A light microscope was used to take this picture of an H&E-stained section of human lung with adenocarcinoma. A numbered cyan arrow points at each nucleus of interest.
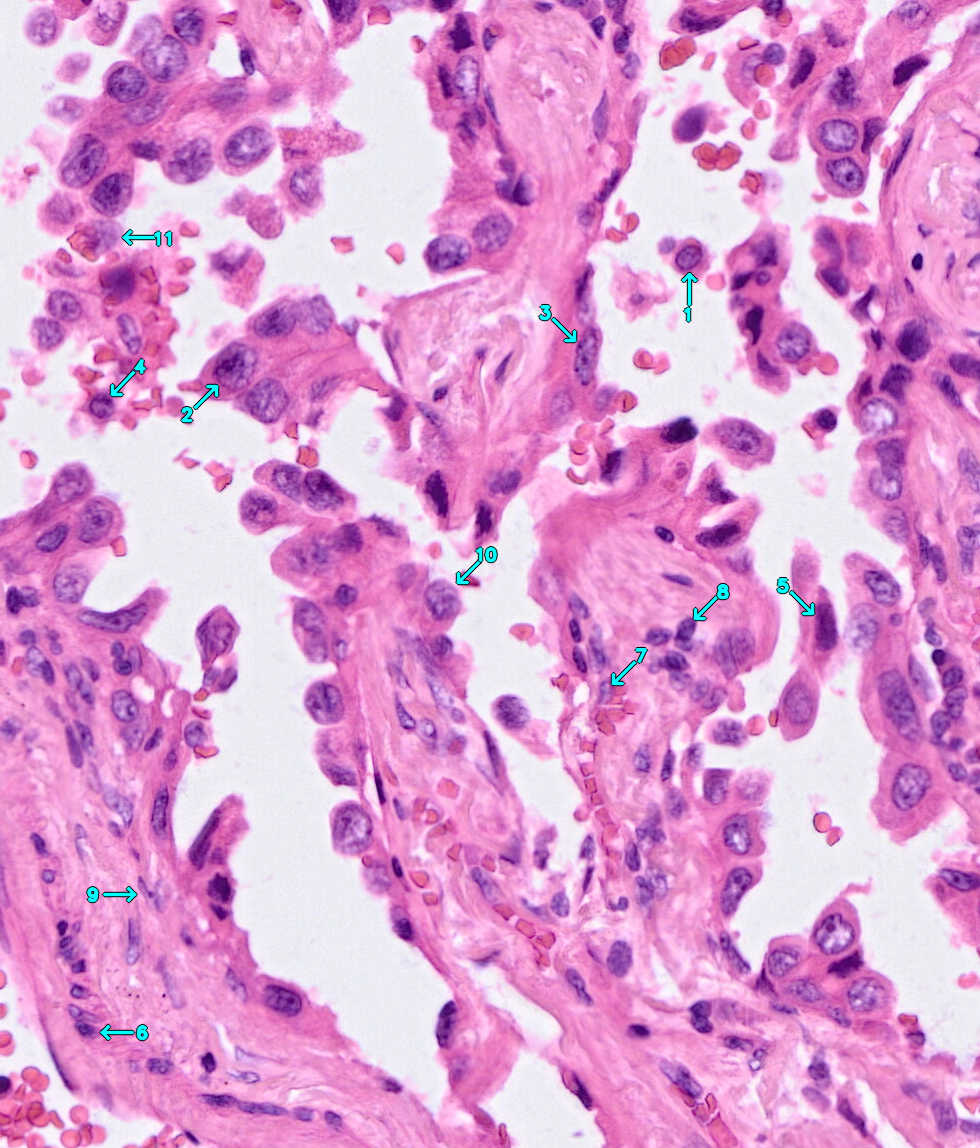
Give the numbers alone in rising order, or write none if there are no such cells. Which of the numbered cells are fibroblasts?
9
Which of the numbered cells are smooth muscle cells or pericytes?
6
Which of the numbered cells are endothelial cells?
7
